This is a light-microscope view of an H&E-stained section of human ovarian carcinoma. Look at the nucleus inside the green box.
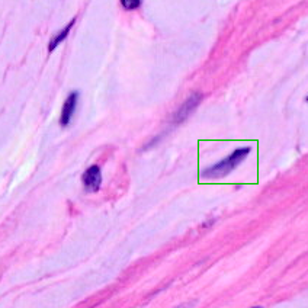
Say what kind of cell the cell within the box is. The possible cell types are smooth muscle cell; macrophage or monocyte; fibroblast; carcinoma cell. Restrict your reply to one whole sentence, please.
The classification of the cell within the box is as a fibroblast.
